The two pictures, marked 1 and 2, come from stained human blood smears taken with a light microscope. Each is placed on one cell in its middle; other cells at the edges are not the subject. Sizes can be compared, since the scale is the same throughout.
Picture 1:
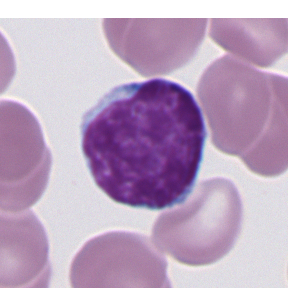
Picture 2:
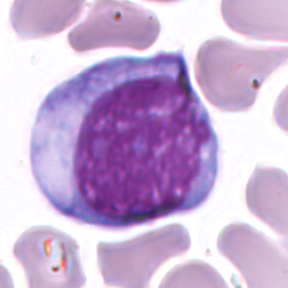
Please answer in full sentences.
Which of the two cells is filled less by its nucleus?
It is the cell in picture 2 that is filled less by its nucleus.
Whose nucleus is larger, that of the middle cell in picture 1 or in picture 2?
Larger is the nucleus in picture 2, at roughly 1.5 times the area of the other.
